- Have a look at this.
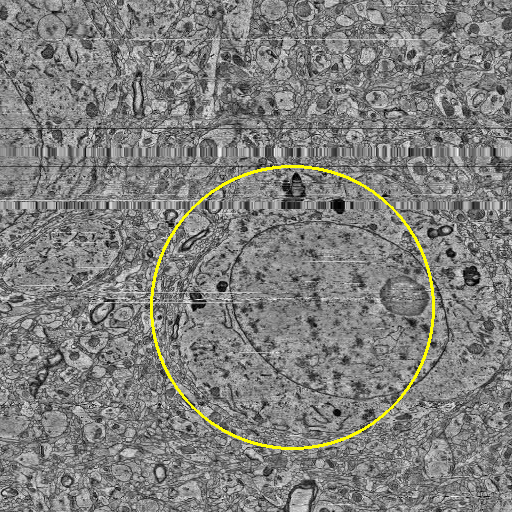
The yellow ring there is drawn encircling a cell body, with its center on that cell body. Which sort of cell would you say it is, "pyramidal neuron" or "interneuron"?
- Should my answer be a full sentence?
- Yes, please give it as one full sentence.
For this picture, a pyramidal neuron is the cell where the yellow ring has its center.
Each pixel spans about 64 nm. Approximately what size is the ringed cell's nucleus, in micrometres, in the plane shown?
The nucleus works out at approximately 15 by 11 micrometres in this plane.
